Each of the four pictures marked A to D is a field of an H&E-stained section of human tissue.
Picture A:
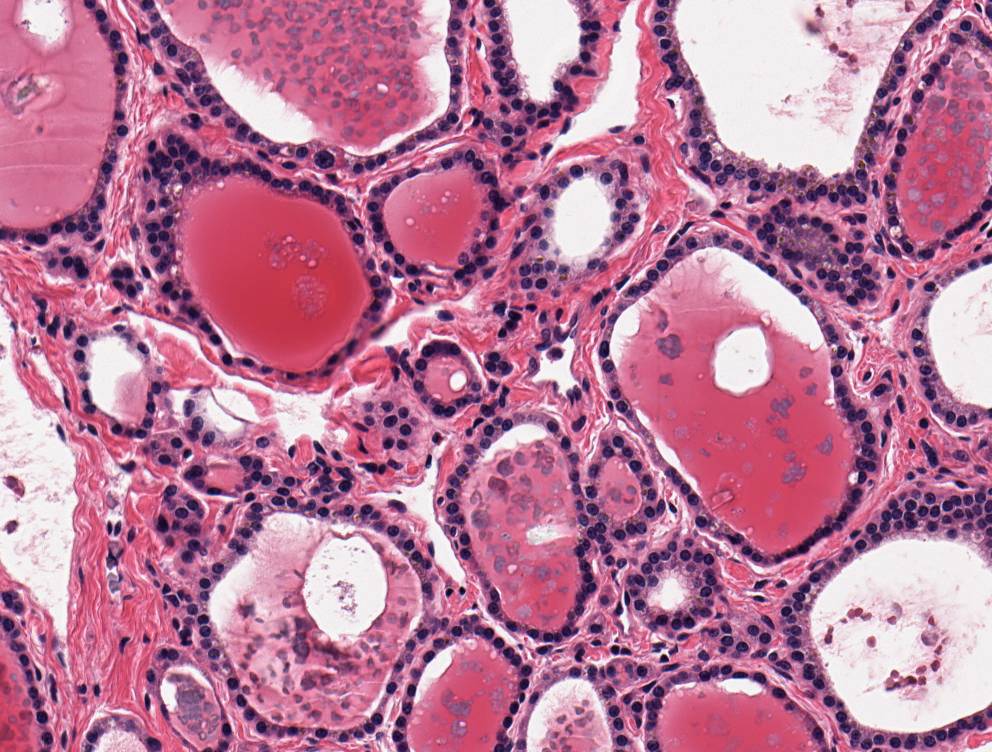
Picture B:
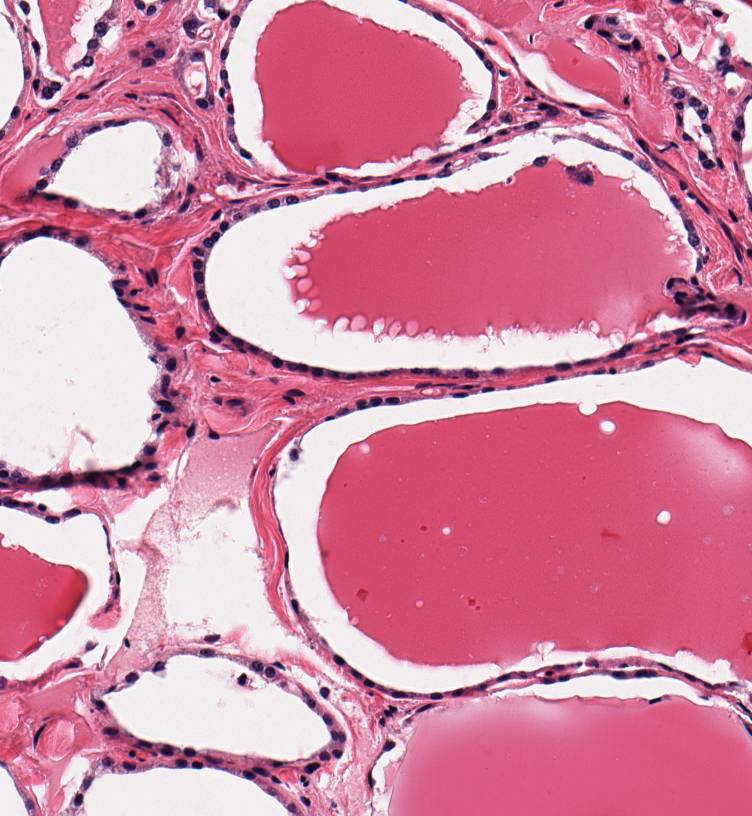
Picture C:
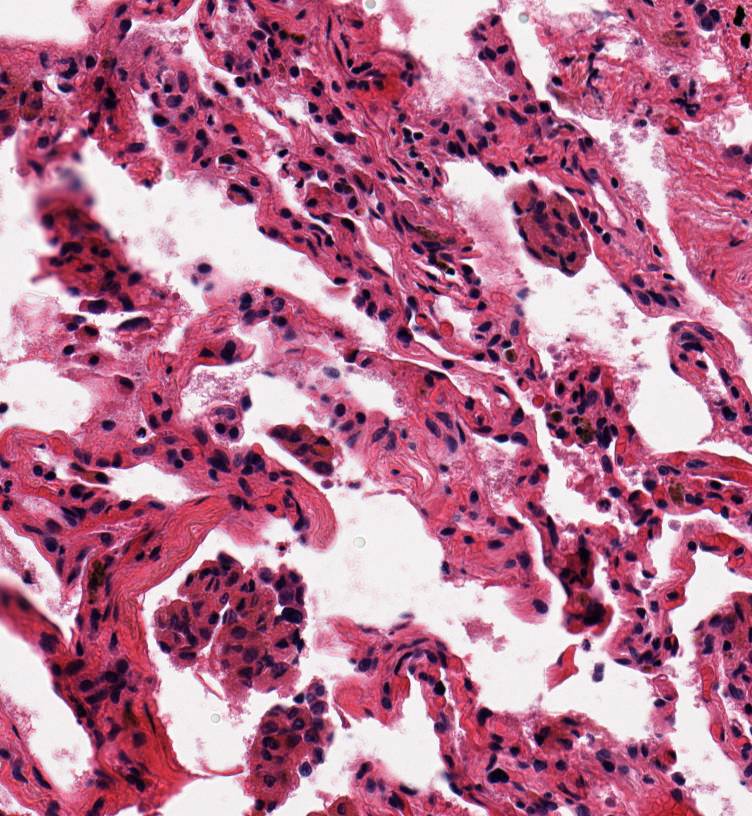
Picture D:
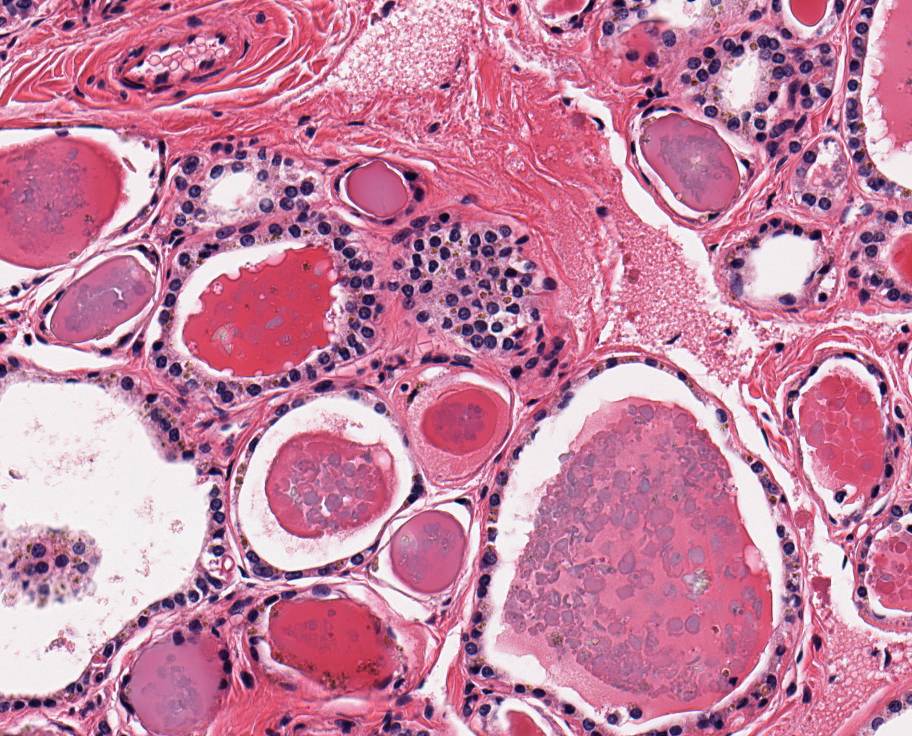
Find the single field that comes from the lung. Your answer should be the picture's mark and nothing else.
C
